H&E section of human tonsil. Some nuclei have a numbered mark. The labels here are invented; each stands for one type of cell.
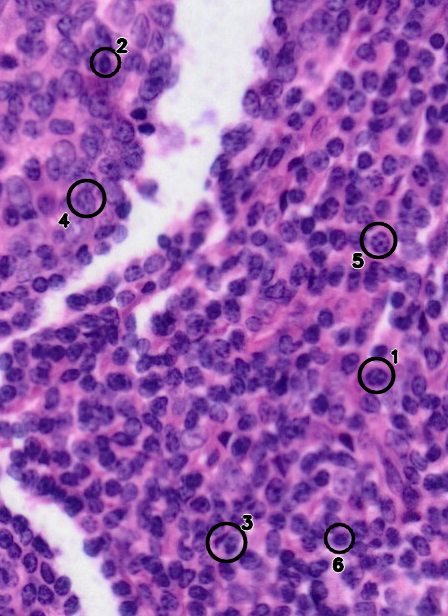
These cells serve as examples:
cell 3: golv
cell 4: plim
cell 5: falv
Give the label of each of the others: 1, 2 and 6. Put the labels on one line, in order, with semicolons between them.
falv; plim; golv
